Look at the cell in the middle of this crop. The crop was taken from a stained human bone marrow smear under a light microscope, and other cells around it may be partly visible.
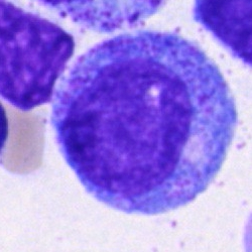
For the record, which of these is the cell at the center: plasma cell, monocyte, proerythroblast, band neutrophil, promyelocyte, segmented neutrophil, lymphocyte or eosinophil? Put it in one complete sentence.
The centrally placed cell is classified as a promyelocyte.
